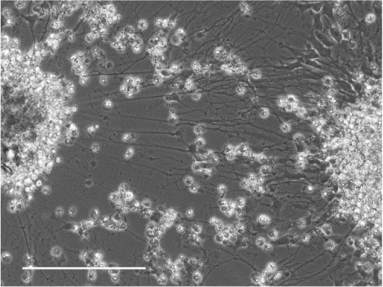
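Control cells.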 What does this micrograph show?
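At the left and right edges lie two large, dense clusters of bright, tightly packed cells. Between them run long, thin, dark fibres, many roughly parallel, bridging the open space. Scattered across the dish are many small round cells with bright halos, some sitting singly and some in small groups. The background between cells is flat and grey, where the dish surface shows through.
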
